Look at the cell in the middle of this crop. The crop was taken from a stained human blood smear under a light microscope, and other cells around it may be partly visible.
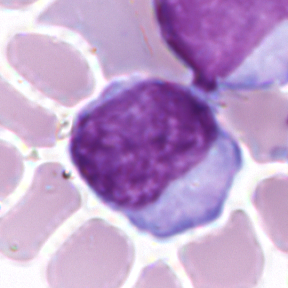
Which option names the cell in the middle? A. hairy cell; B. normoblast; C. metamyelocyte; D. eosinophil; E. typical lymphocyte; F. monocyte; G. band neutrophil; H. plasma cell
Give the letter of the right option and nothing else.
H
